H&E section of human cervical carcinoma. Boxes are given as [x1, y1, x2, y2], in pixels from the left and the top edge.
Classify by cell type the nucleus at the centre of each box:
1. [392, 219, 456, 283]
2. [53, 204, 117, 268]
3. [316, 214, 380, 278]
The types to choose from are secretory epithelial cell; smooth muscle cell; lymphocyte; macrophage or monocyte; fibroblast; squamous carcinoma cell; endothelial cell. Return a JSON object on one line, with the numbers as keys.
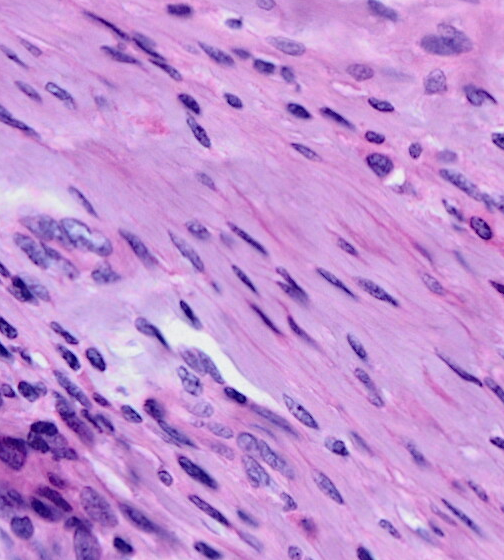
{"1": "smooth muscle cell", "2": "endothelial cell", "3": "smooth muscle cell"}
